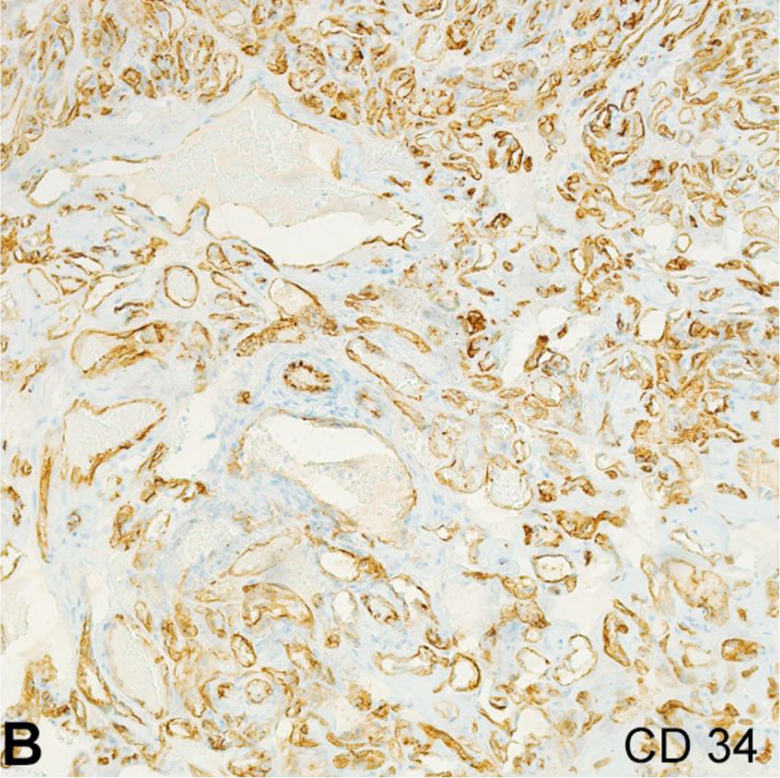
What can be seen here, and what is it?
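The channels are mostly rounded or oval, with thin walls, and crowd the right and lower parts of the field. Toward the upper left lie larger dilated spaces filled with pale pinkish material. Pale blue stroma with small blue nuclei separates groups of channels. The brown stain is confined mainly to the thin linings, leaving the lumens clear.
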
